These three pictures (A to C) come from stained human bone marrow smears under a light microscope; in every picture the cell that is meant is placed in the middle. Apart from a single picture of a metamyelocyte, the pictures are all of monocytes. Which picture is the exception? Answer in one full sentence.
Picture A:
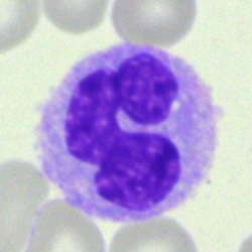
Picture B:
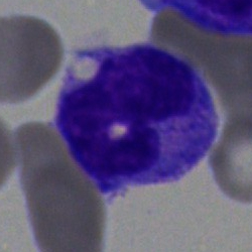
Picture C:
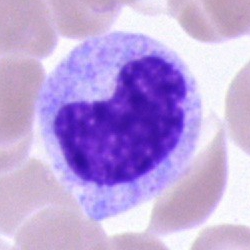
The cell in picture C is the metamyelocyte.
